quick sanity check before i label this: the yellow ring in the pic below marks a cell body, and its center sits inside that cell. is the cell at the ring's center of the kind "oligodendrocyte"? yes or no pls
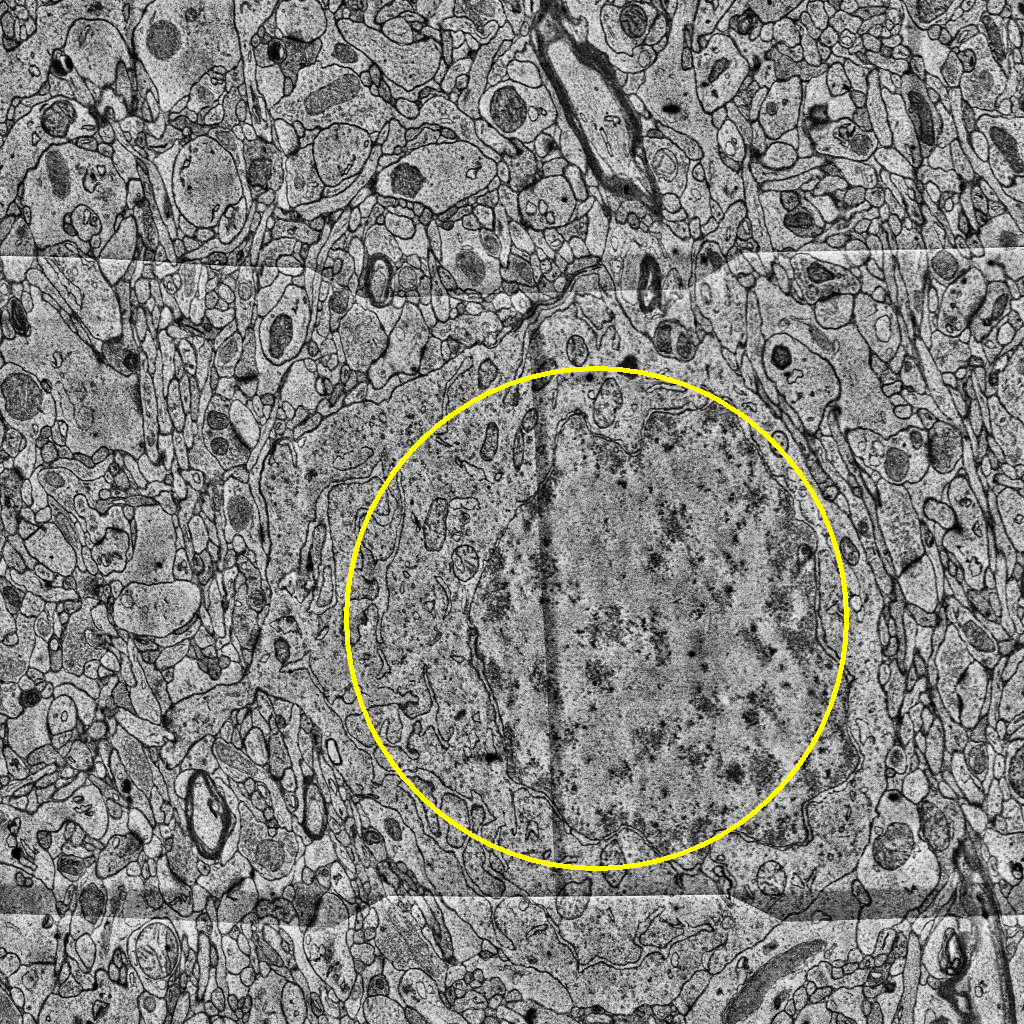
no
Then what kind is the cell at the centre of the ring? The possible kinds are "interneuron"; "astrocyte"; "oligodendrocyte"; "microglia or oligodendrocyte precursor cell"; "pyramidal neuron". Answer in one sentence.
The ring holds an interneuron at its centre.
